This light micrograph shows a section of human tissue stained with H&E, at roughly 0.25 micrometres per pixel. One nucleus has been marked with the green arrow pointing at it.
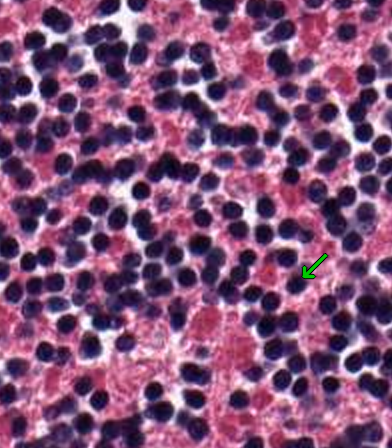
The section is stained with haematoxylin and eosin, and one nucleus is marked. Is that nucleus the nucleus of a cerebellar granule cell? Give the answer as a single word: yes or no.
yes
